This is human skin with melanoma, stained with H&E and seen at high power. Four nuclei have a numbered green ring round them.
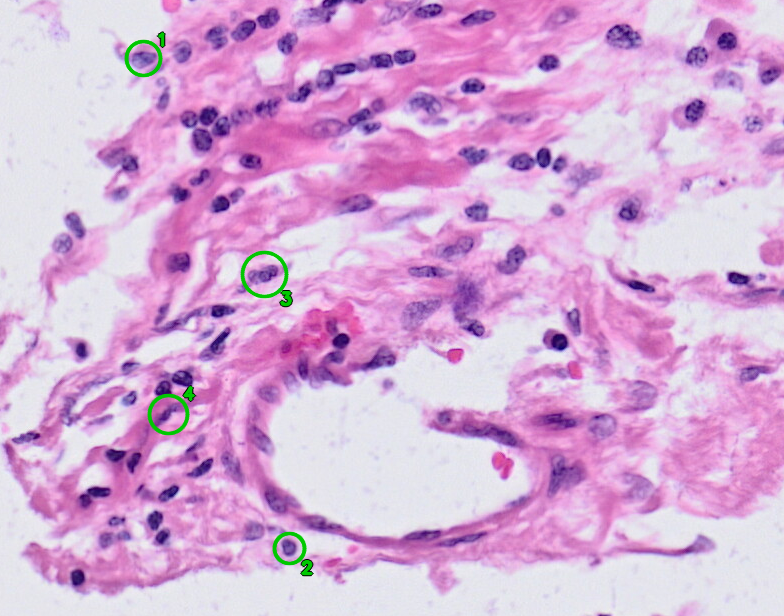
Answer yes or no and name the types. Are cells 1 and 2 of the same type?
Yes, both are lymphocytes.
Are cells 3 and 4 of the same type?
No, cell 3 is a macrophage or monocyte and cell 4 is a fibroblast or myofibroblast.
